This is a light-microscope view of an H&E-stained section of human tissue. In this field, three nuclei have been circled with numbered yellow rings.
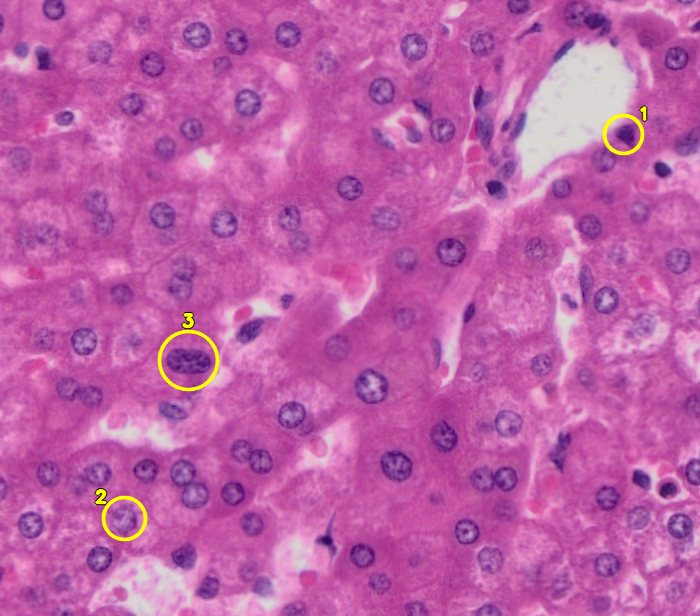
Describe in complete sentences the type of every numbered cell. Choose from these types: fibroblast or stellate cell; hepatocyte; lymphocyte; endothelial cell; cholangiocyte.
Cell 1 is a fibroblast or stellate cell. Cells 2 and 3 are hepatocytes.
